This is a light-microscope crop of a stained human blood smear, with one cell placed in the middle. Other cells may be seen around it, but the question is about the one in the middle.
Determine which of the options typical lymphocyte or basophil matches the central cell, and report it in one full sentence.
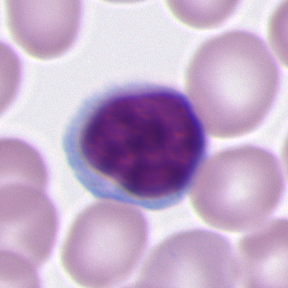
Centred in the crop is a typical lymphocyte.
